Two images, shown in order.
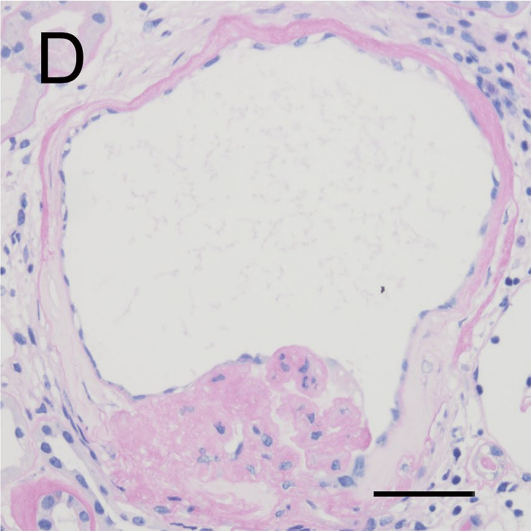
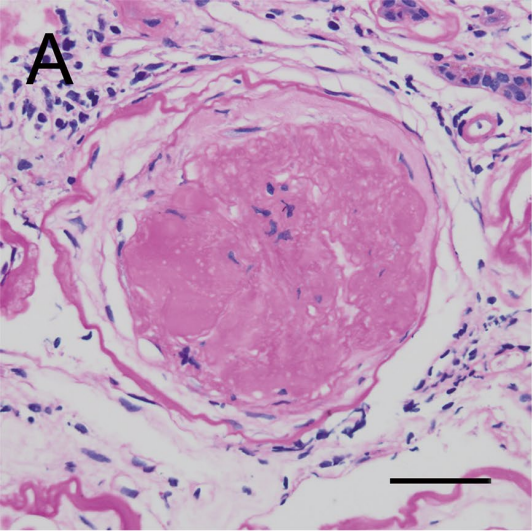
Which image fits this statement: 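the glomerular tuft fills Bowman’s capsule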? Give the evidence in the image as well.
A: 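First image: a small tuft lies at one side of a large empty space within the capsule. On this evidence: the second image.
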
